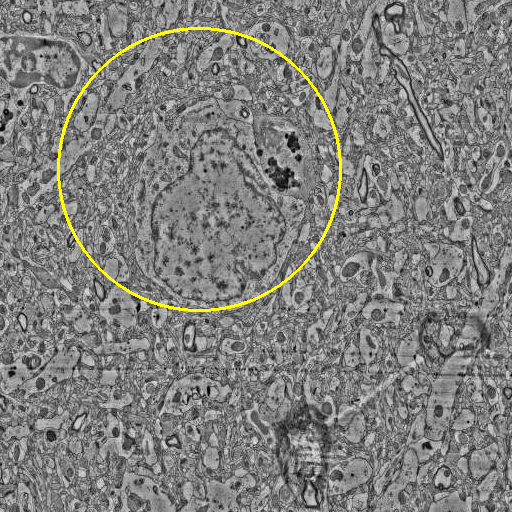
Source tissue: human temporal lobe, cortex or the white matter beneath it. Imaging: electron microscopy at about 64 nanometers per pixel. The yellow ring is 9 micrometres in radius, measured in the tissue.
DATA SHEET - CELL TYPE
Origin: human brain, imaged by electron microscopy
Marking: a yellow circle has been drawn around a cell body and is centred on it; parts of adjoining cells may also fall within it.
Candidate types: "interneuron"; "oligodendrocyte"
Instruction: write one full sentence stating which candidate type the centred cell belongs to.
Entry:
The cell body at the centre of the yellow ring in this micrograph belongs to an interneuron.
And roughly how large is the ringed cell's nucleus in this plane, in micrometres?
The nucleus appears about 9 micrometres across in this plane.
